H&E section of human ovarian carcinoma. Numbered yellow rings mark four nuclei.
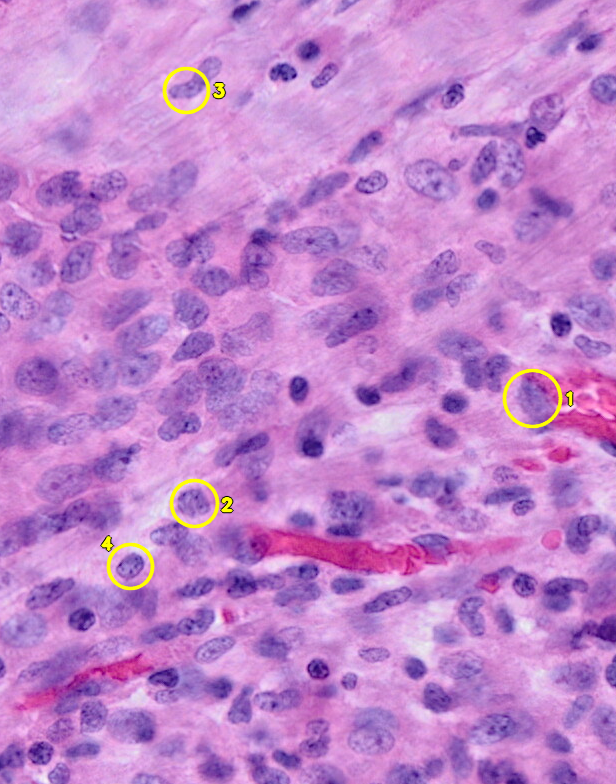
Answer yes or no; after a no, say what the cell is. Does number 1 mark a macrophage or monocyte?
No, it is an endothelial cell.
